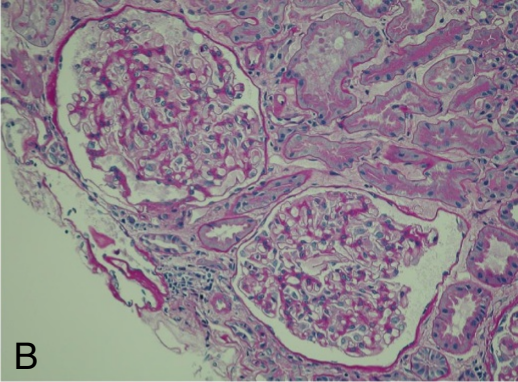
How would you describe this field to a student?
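Renal cortex with two glomeruli and surrounding tubules stained magenta and blue-grey. The glomerular capillary loops are thin and open, with magenta basement membranes and modest numbers of nuclei. Each glomerulus is enclosed by a magenta-outlined capsule with a clear space around the tuft. Tubules around them show magenta-rimmed basement membranes and luminal borders.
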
